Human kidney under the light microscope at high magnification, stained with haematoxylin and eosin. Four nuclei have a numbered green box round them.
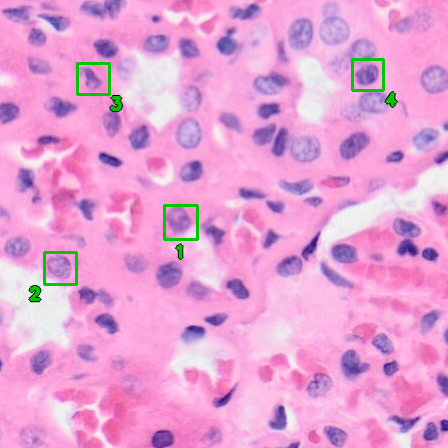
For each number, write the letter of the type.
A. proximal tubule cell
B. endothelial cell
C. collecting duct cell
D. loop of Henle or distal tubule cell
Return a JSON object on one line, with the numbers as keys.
{"1": "D", "2": "D", "3": "D", "4": "C"}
